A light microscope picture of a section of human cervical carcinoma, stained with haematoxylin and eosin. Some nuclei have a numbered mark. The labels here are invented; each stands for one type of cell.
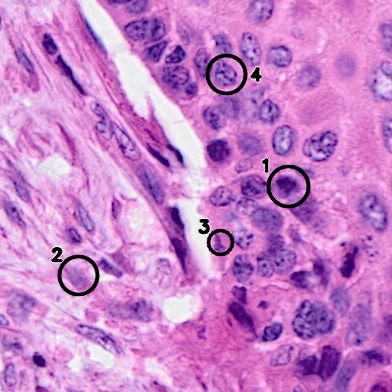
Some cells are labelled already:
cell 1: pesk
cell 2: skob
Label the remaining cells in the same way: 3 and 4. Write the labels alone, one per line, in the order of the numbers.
pesk
pesk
